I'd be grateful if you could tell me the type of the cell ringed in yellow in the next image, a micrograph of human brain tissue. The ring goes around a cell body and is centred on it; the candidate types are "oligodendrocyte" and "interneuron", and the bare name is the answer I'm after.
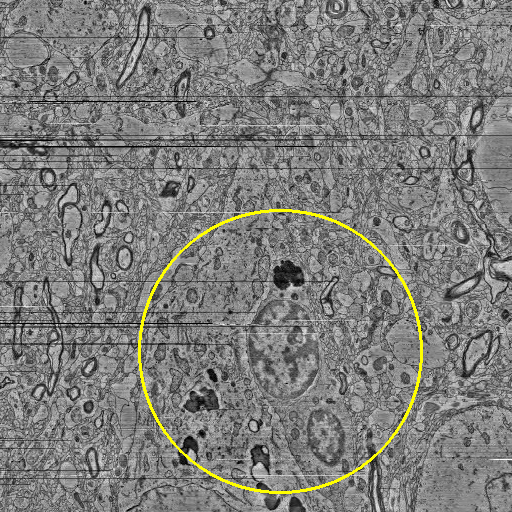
oligodendrocyte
